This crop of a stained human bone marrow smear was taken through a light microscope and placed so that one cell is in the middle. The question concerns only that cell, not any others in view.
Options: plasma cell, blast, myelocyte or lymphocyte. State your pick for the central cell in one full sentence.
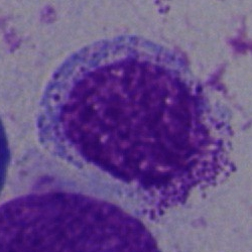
Standing at the centre of this crop is a myelocyte.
